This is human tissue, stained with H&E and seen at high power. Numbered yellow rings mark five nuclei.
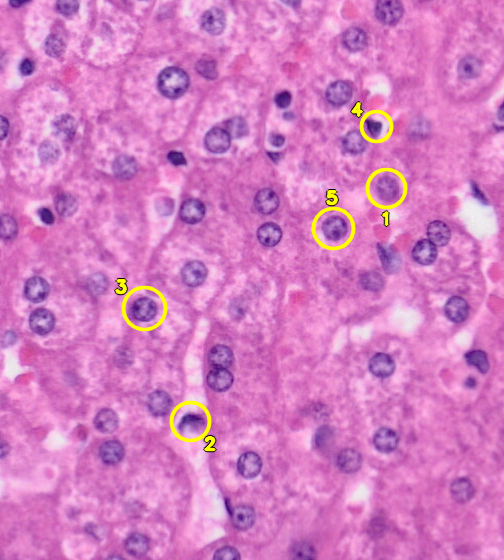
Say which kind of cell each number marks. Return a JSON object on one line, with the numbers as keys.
{"1": "hepatocyte", "2": "endothelial cell", "3": "hepatocyte", "4": "endothelial cell", "5": "hepatocyte"}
